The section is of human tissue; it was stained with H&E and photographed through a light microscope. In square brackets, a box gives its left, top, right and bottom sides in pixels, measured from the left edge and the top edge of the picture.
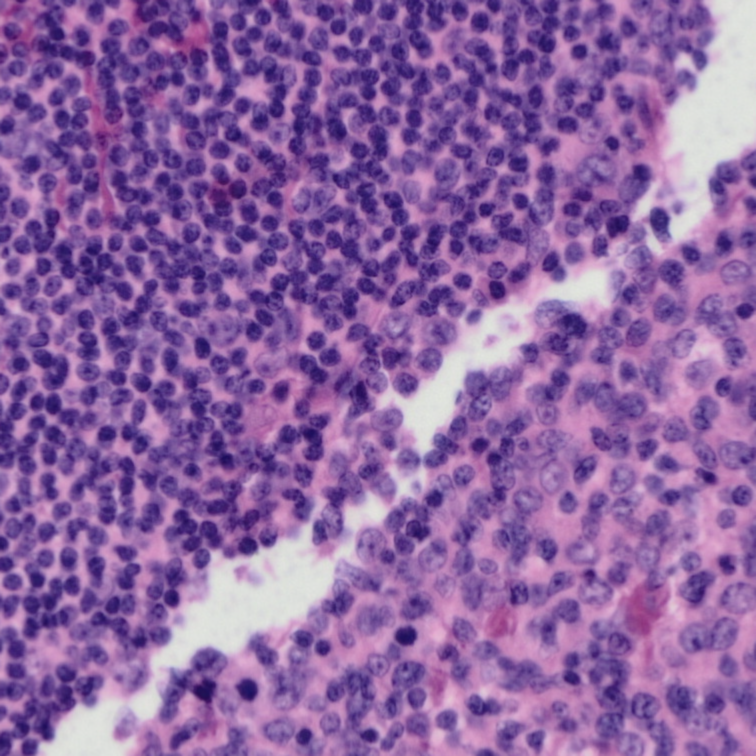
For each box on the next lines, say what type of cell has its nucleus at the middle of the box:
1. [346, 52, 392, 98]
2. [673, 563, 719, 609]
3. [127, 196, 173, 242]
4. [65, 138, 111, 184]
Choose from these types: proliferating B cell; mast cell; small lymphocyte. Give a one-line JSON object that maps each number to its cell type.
{"1": "small lymphocyte", "2": "proliferating B cell", "3": "small lymphocyte", "4": "small lymphocyte"}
